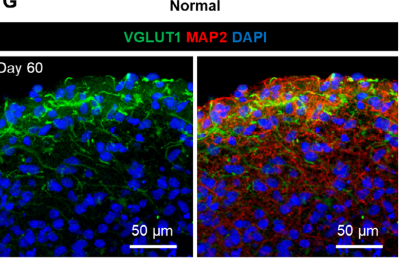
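Thin green fibres, some with a beaded look, run mostly across the upper part of the tissue and thread between the nuclei. In the merged view a fine red meshwork of processes fills the spaces around the nuclei, and the green fibres lie intermingled with it. The overall picture is of densely packed cells with an abundant web of fine processes between them.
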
